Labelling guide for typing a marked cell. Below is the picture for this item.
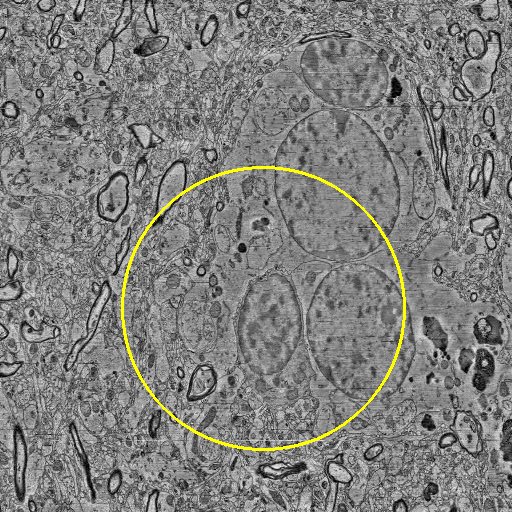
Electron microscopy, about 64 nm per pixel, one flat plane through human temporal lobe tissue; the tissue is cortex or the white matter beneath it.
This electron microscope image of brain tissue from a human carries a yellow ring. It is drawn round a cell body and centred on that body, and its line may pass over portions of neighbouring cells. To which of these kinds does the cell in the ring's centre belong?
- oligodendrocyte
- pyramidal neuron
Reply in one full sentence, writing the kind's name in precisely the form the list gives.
Here we have an oligodendrocyte at the centre of the yellow ring in the picture.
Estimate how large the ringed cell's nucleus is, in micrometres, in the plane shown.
The nucleus comes to approximately 7 by 4 micrometres and is clearly longer than it is wide in this plane.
